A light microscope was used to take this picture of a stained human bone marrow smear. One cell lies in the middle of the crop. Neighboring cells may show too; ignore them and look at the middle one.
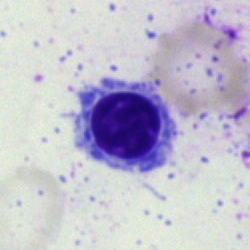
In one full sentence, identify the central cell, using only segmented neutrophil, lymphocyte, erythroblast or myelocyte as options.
Located at the centre of the crop is an erythroblast.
